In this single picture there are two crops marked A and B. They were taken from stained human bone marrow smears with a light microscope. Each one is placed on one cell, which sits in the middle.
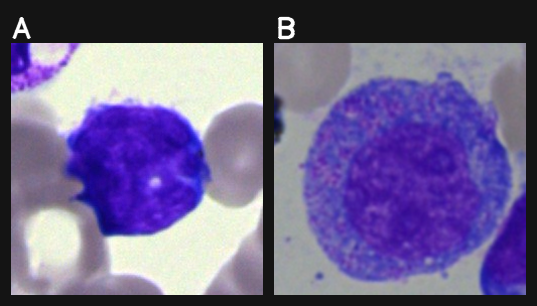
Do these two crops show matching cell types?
no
